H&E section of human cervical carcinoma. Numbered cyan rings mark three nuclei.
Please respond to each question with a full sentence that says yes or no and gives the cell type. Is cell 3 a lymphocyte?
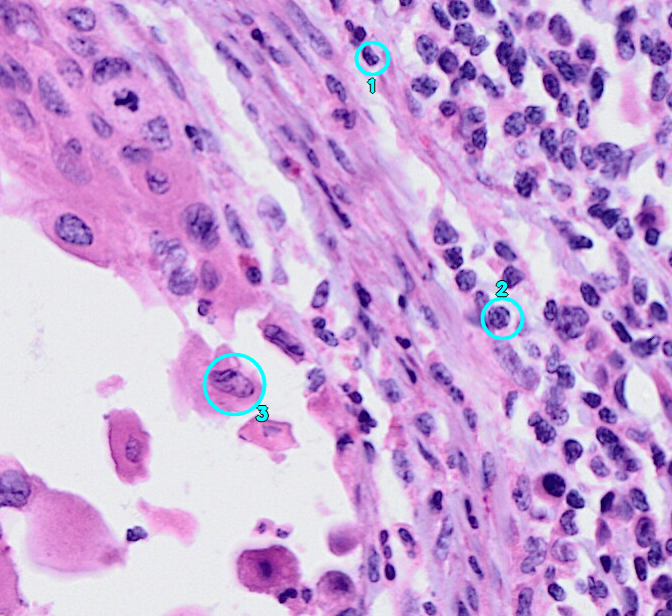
No, with respect, cell 3 is a squamous carcinoma cell rather than a lymphocyte.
